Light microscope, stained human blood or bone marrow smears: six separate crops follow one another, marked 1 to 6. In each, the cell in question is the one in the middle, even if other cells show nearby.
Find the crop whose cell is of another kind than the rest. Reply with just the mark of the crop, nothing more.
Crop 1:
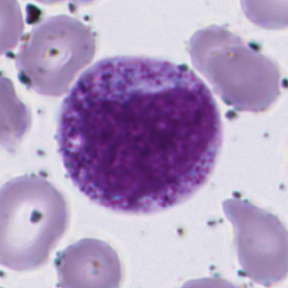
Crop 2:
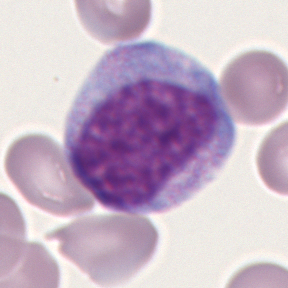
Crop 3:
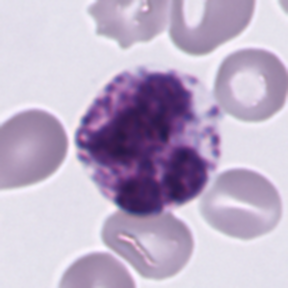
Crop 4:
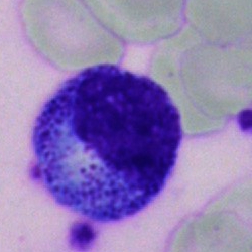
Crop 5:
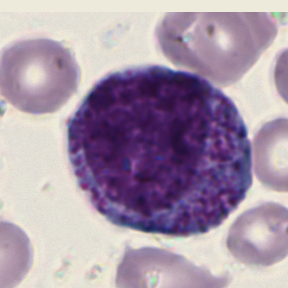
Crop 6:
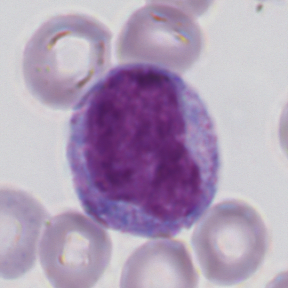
3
